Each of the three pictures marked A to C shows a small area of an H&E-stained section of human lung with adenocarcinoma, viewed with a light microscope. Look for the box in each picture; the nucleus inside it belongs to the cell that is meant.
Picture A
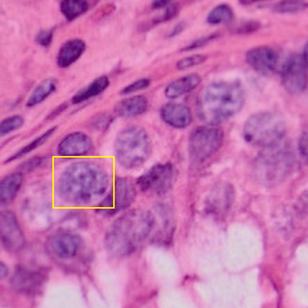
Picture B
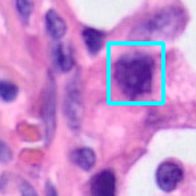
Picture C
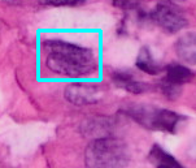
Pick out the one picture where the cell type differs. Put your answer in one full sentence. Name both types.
The different one is picture B; it shows a carcinoma cell, whereas all the others show ciliated epithelial cells.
